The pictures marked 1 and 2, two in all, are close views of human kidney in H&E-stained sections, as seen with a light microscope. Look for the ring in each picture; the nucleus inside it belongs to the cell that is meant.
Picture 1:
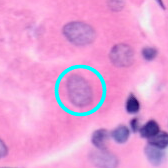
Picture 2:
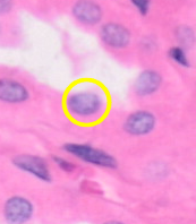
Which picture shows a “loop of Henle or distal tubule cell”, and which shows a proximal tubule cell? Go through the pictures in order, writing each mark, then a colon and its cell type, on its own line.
1: proximal tubule cell
2: loop of Henle or distal tubule cell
